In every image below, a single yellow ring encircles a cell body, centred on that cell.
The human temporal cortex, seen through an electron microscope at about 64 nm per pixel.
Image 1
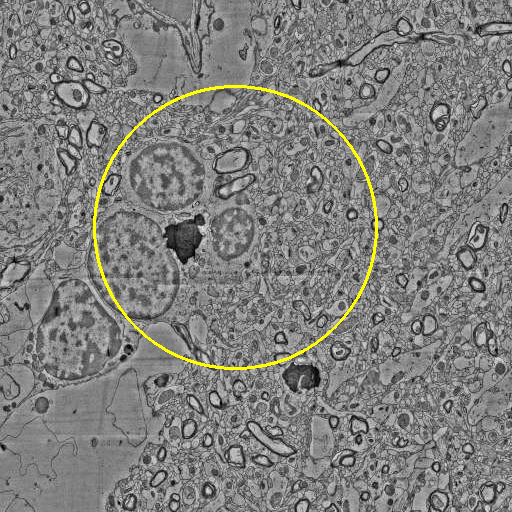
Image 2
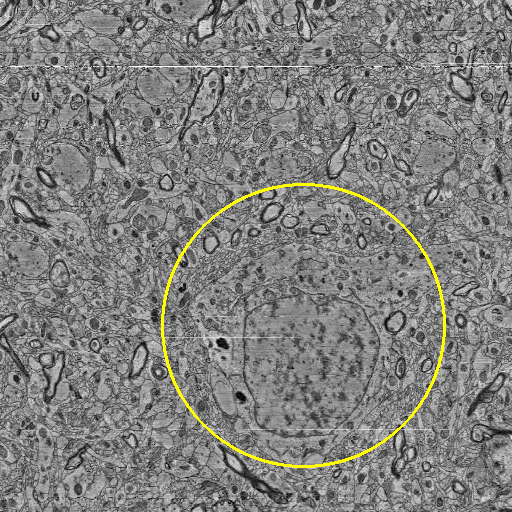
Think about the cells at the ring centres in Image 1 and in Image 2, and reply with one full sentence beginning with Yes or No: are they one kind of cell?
No, the cells centred in the rings of Image 1 and Image 2 are two kinds of cell.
